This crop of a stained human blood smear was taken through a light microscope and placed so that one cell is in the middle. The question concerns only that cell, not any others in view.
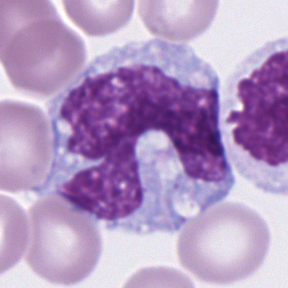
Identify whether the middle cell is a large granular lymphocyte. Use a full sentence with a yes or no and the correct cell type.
No, the central cell is identified not as a large granular lymphocyte but as a monocyte.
